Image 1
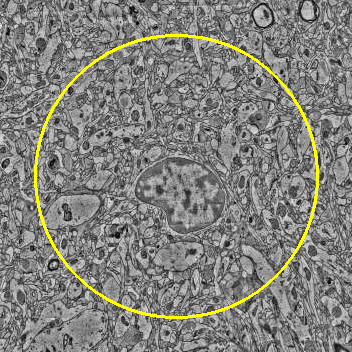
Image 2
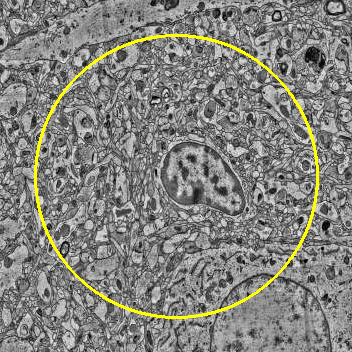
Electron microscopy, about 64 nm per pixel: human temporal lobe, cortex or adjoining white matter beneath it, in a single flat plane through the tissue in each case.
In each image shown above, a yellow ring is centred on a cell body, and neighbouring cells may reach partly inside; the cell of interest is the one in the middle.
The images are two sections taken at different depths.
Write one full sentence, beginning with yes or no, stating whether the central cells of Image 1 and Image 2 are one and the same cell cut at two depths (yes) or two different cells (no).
Yes, the first and second rings frame the same single cell.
